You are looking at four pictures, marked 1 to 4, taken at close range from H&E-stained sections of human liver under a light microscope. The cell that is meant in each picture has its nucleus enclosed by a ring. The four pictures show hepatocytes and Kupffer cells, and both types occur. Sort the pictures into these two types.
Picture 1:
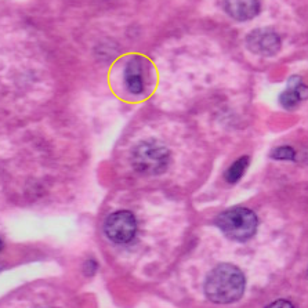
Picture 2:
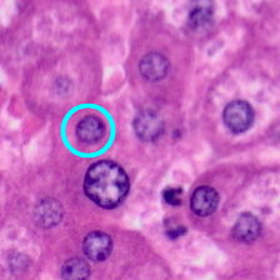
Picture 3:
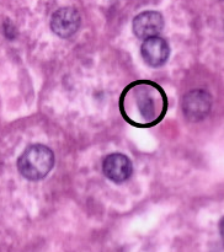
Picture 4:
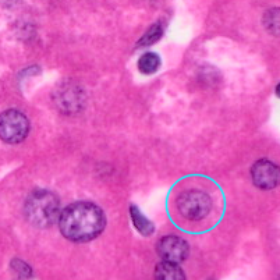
1: Kupffer cell
2: hepatocyte
3: Kupffer cell
4: hepatocyte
